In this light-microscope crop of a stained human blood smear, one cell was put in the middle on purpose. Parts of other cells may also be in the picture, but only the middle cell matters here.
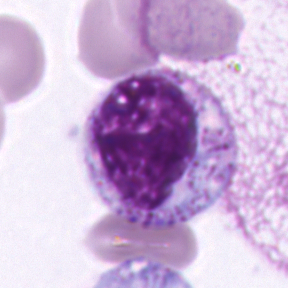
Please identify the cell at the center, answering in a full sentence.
Located at the centre of the crop is a metamyelocyte.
